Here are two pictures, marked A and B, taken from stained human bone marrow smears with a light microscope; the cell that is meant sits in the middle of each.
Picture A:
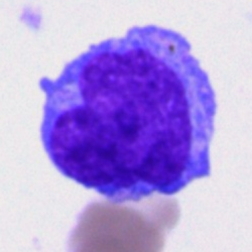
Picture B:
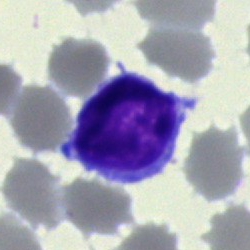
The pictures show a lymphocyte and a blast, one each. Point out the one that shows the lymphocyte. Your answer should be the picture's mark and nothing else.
B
